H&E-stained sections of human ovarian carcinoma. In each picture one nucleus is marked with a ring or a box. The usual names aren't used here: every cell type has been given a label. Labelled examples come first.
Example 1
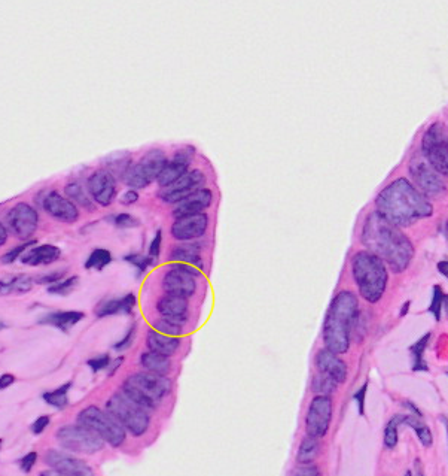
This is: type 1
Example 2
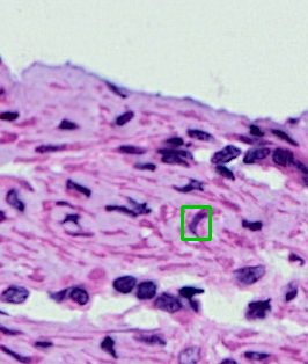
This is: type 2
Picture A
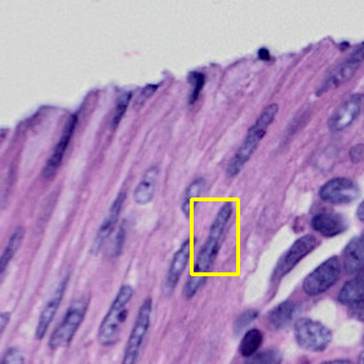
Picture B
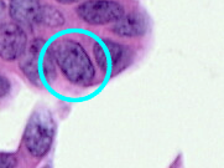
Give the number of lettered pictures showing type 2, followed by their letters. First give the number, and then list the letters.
Count: 1 (A)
